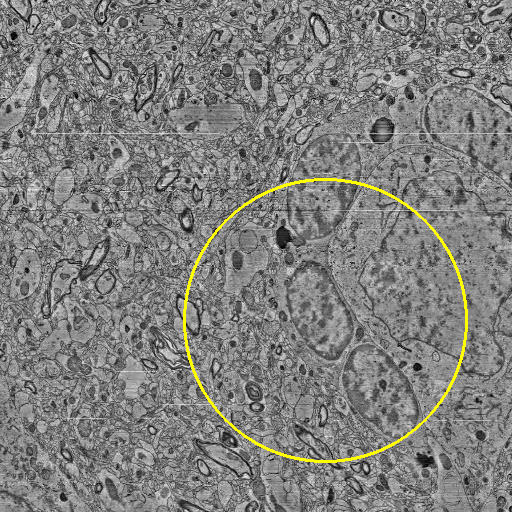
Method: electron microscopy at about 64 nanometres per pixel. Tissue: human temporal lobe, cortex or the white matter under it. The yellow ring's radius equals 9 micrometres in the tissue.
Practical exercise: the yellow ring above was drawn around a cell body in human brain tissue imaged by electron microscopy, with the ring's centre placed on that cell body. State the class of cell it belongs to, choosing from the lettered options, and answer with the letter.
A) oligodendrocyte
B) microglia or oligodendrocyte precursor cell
A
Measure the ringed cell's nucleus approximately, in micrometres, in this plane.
About 7 by 4 micrometres, the nucleus being clearly longer than it is wide in this plane.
